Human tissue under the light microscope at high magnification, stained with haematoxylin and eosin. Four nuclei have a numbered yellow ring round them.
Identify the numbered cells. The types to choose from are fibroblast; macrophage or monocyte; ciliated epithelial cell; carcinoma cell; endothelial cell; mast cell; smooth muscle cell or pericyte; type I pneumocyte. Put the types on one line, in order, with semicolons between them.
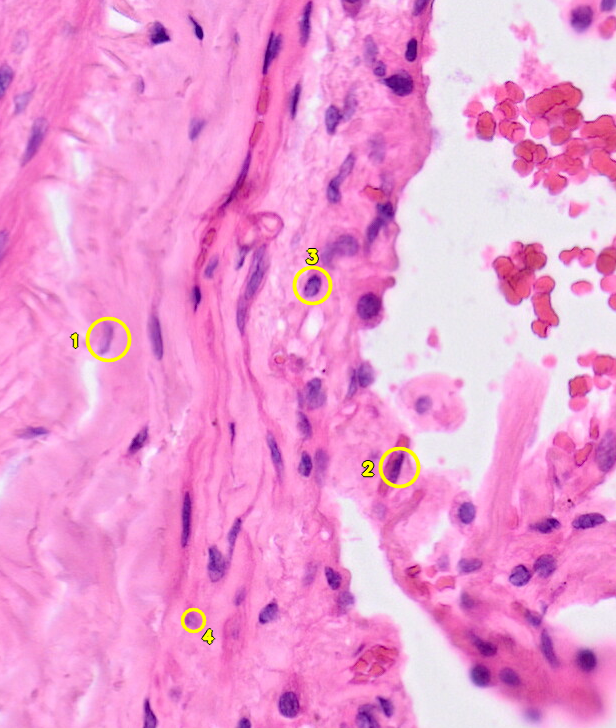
fibroblast; endothelial cell; mast cell; smooth muscle cell or pericyte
